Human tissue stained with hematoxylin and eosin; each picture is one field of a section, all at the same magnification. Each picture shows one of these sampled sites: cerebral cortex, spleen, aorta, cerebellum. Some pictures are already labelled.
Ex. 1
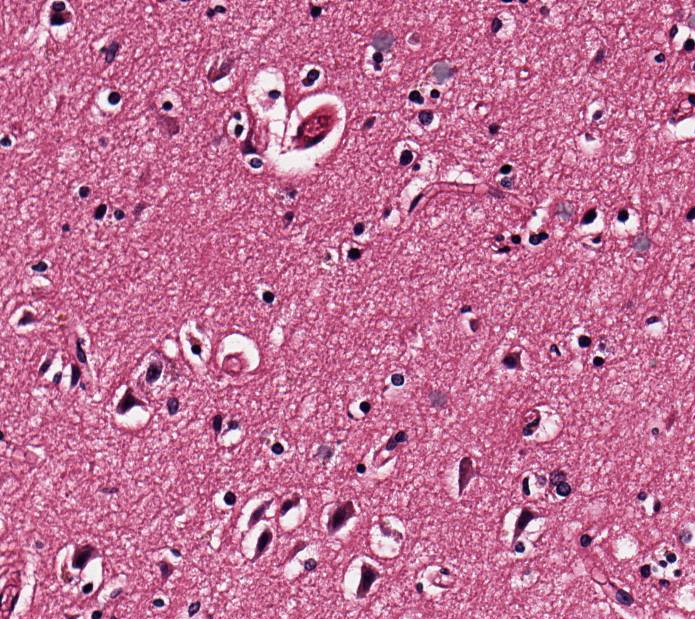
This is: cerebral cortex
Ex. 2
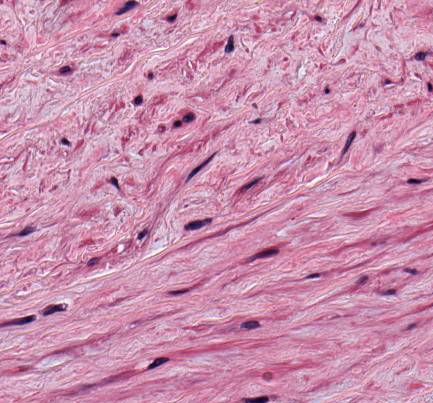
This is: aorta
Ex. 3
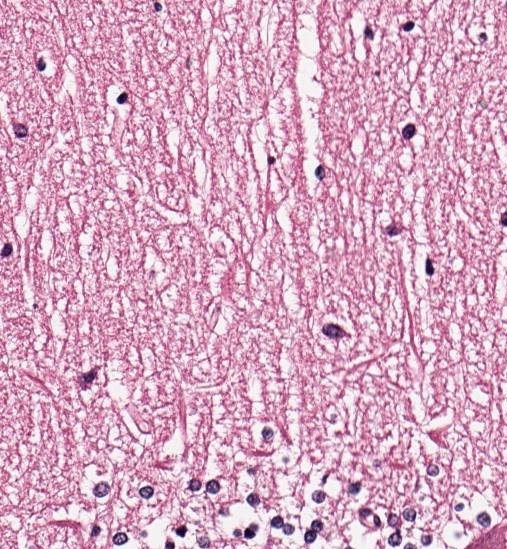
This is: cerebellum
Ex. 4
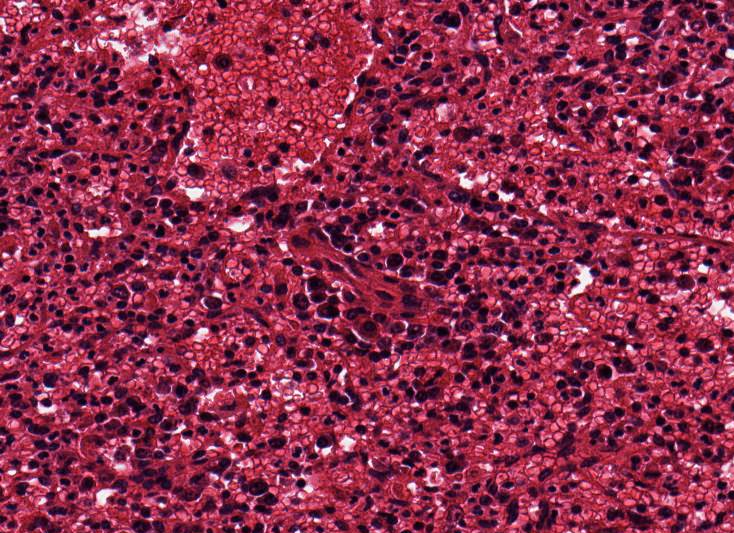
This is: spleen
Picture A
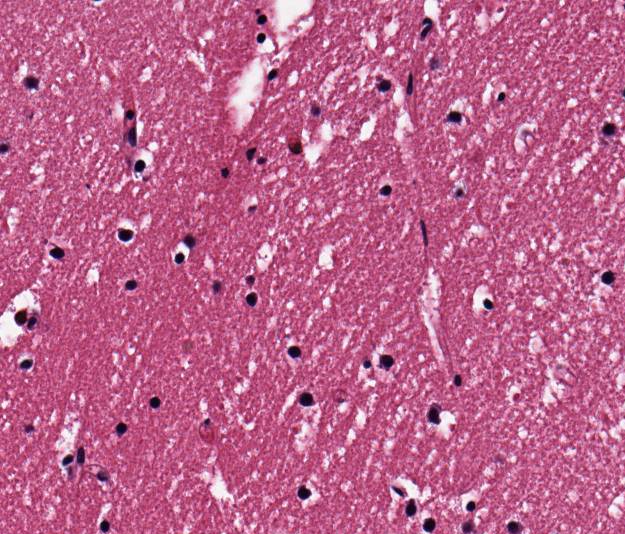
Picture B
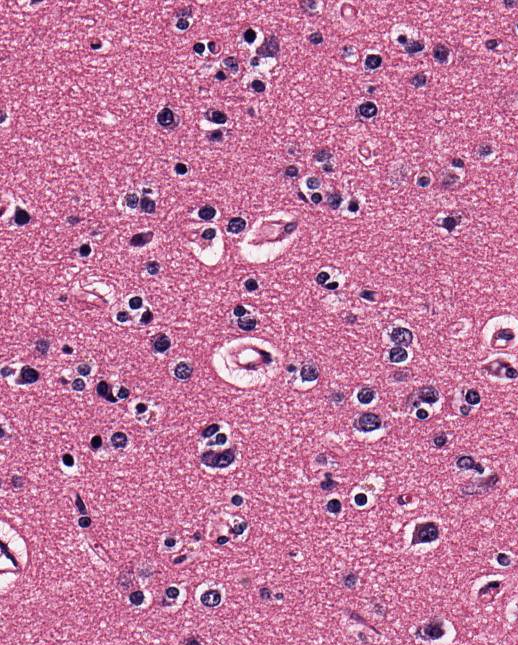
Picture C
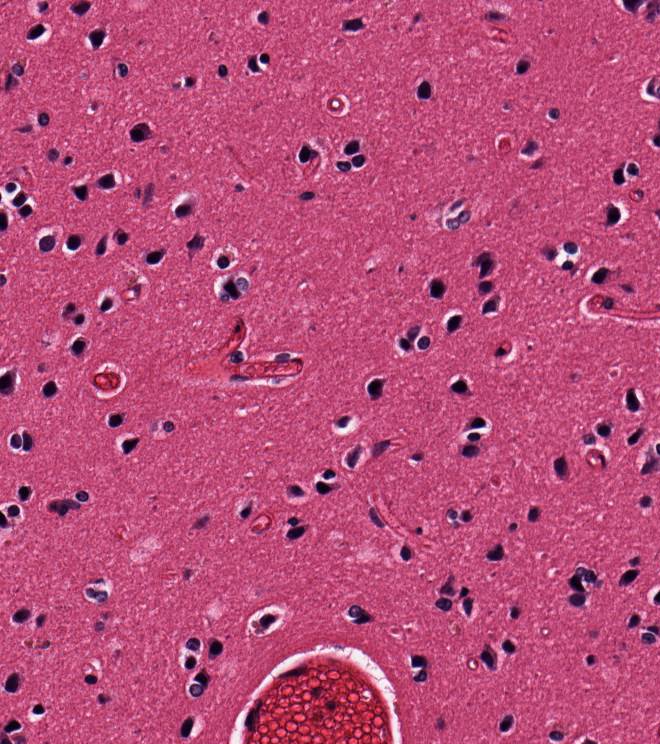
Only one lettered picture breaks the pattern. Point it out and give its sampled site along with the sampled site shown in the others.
A differs and shows cerebellum; the others show cerebral cortex.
